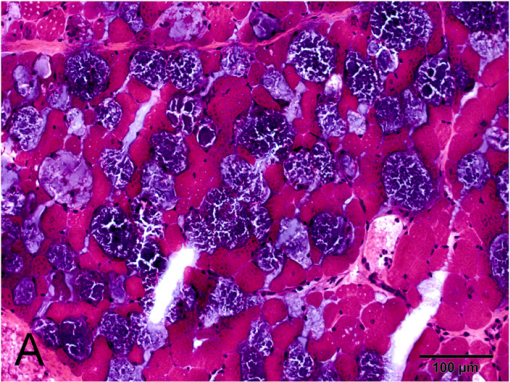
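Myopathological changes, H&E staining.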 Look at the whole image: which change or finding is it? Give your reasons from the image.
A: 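Extensive vacuolation. Many round fibers are filled with purple, cracked, vacuolated material. These fibers lie scattered among pink, uniformly stained fibers. Affected fibers make up a large share of the field.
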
